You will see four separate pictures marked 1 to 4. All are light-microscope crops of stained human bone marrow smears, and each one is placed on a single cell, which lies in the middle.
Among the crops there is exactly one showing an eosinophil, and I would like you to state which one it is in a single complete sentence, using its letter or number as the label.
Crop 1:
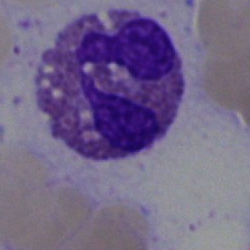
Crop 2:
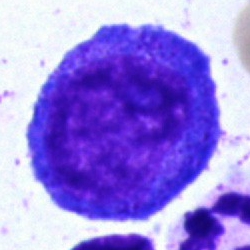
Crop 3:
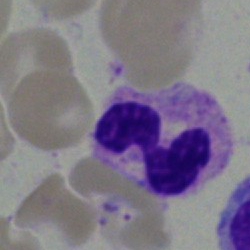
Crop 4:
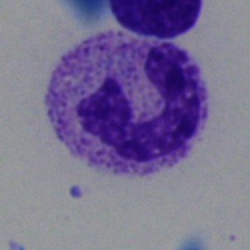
On review of the set, crop 1 is the one showing an eosinophil.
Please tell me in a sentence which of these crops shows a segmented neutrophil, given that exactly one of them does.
Of the labelled crops, the one that shows a segmented neutrophil is crop 4.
